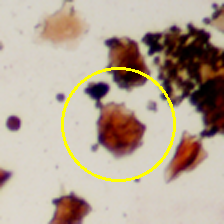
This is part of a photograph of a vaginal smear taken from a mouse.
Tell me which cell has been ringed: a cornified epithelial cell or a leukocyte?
It is a cornified epithelial cell.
